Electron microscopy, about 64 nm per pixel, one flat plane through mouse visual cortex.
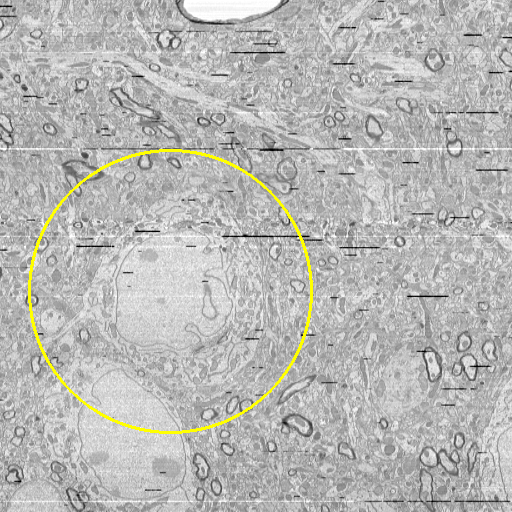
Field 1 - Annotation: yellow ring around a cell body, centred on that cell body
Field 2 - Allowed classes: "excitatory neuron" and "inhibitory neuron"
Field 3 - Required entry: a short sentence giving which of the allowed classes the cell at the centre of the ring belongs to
The centred cell is an inhibitory neuron.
